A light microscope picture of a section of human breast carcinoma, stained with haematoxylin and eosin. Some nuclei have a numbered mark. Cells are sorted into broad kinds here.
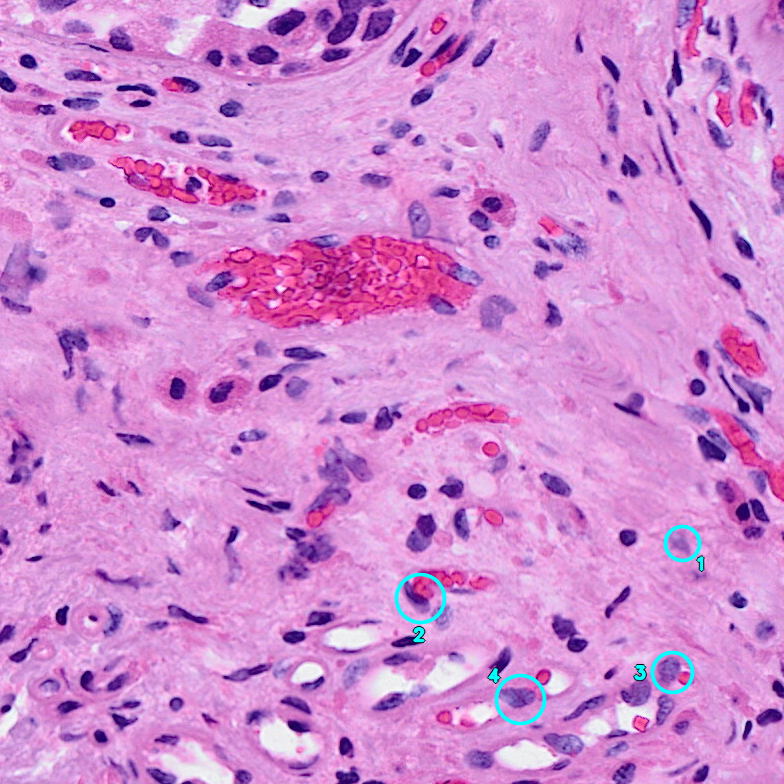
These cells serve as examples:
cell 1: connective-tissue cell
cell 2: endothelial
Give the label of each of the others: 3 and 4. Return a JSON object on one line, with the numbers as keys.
{"3": "endothelial", "4": "endothelial"}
